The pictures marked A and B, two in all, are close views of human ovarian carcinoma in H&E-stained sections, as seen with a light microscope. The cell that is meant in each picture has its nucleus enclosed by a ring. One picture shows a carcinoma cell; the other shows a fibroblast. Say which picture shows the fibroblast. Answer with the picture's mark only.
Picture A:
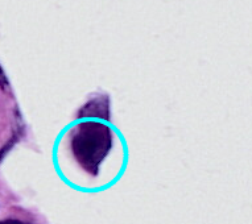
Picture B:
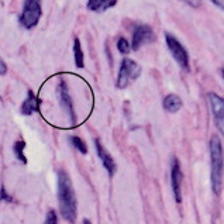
B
